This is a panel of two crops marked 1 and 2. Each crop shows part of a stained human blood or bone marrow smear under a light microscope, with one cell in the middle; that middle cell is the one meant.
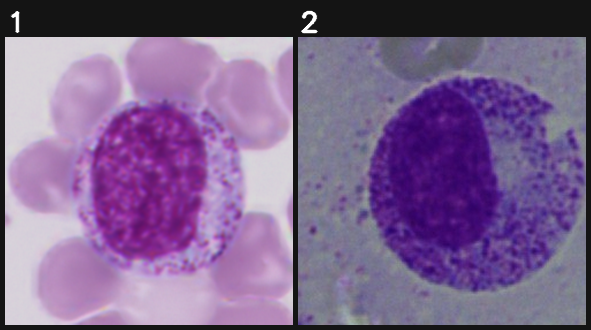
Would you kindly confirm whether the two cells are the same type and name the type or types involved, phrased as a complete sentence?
Yes, myelocytes are seen in both crops.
